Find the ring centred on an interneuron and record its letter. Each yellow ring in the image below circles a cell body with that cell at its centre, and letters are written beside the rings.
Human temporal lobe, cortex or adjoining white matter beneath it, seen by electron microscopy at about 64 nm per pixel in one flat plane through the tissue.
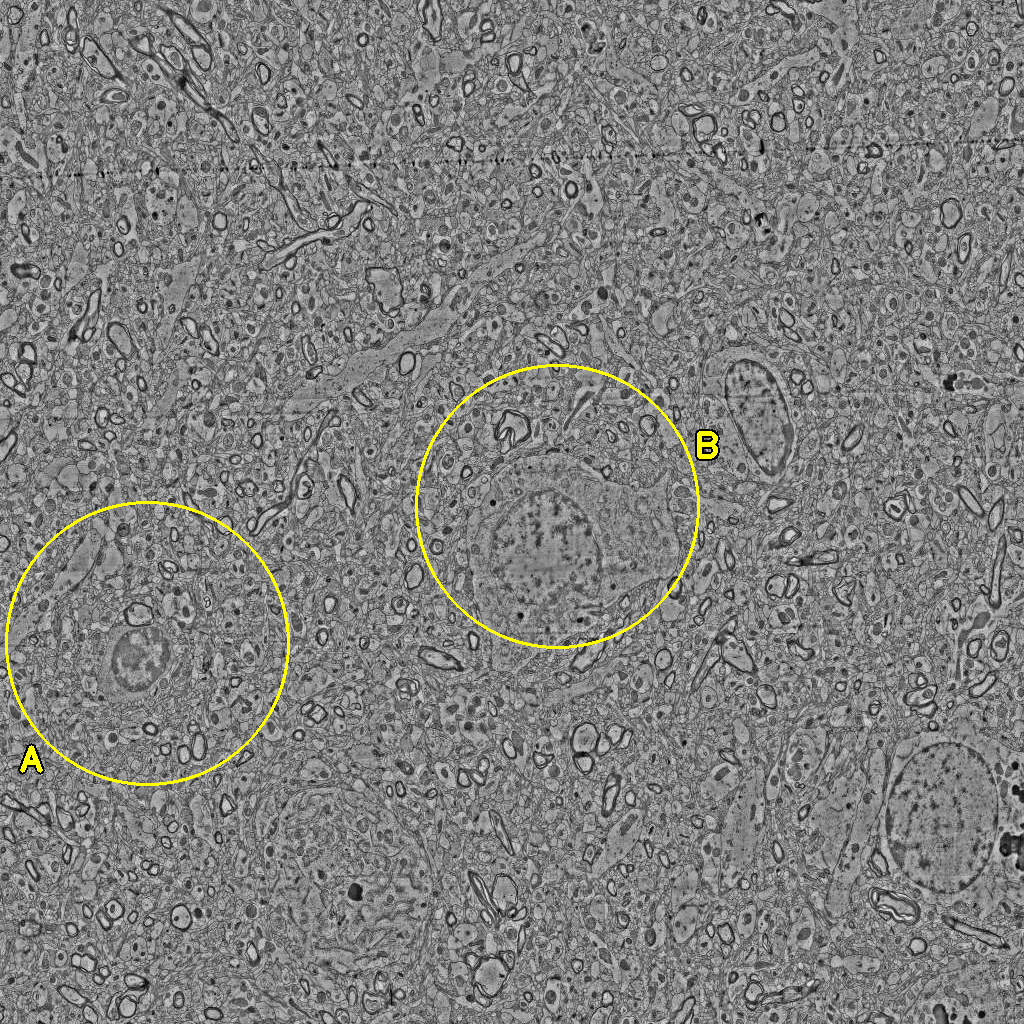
B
